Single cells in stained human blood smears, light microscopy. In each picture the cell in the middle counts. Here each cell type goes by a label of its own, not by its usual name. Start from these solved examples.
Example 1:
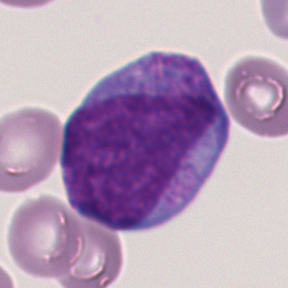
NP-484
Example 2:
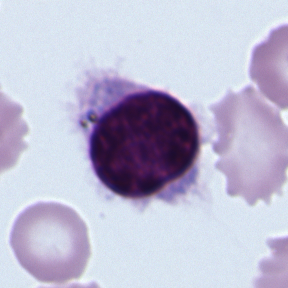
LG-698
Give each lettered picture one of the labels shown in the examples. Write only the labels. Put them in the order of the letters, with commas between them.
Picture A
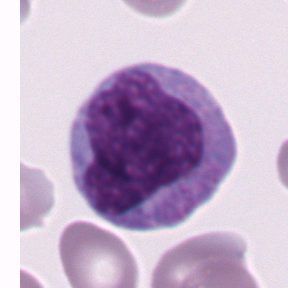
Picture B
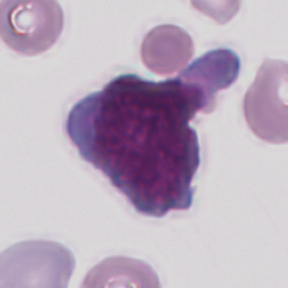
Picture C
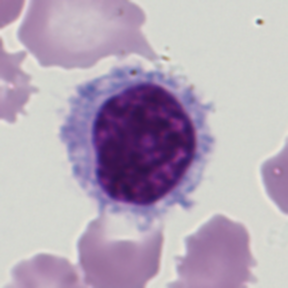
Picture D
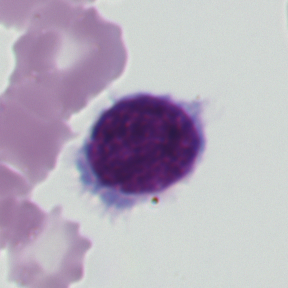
NP-484, NP-484, LG-698, LG-698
